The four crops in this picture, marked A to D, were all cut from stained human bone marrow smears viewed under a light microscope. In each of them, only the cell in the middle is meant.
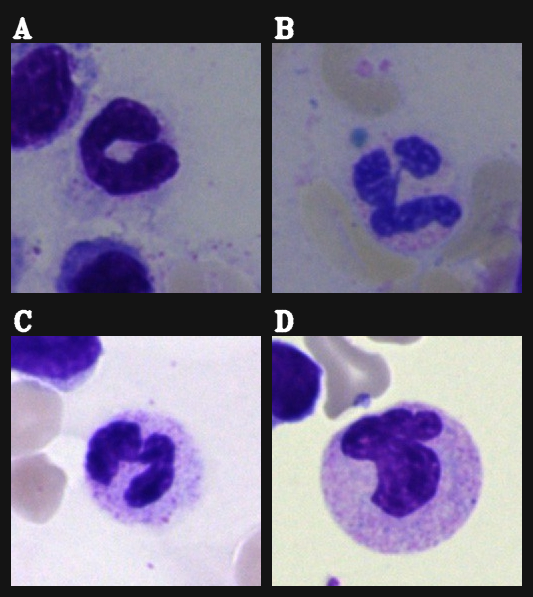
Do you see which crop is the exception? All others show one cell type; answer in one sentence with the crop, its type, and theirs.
Crop D is singled out as a band neutrophil, and all of the other crops show segmented neutrophils.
